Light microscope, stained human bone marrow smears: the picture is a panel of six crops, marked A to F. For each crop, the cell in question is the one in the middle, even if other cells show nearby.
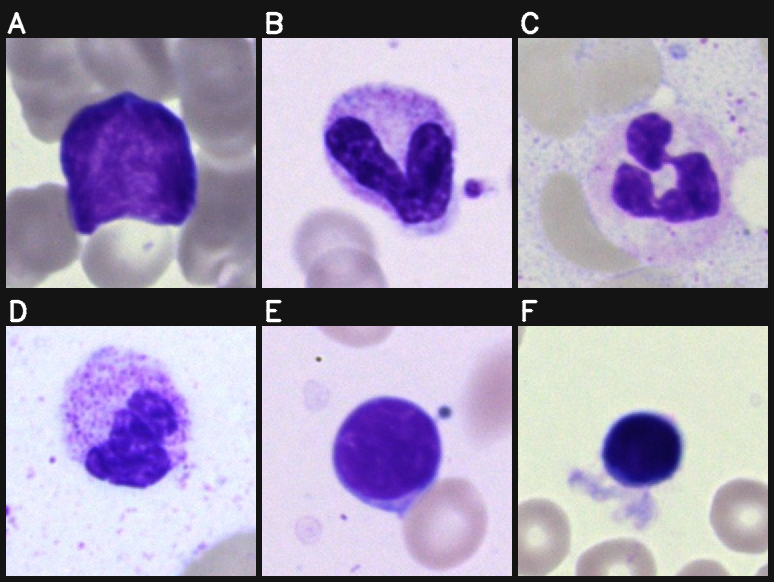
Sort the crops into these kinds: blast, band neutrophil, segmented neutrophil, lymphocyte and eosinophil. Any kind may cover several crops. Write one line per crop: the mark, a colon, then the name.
A: blast
B: band neutrophil
C: segmented neutrophil
D: segmented neutrophil
E: lymphocyte
F: lymphocyte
